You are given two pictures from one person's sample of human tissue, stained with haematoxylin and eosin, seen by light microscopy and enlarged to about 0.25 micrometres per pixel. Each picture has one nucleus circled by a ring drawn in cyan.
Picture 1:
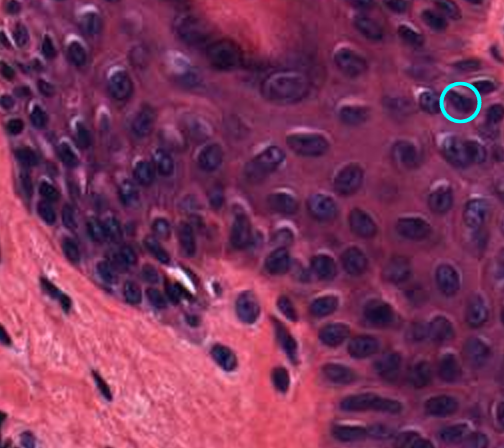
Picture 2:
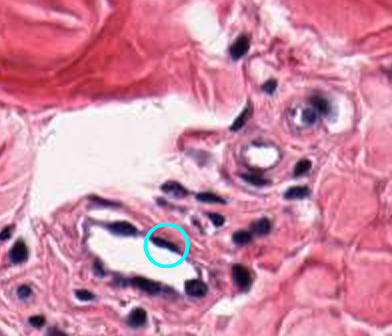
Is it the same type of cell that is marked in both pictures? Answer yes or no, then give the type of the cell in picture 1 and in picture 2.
No, the first is a keratinocyte and the second an endothelial cell.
